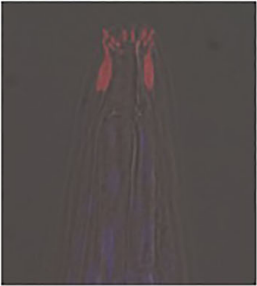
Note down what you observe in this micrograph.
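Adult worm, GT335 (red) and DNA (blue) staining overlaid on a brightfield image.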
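At the anterior tip, several short, thin red rod-like structures fan out around the mouth, and two large, bright red elongated patches lie symmetrically on either side just behind them. A narrow central tube runs back from the mouth along the midline. Blue nuclei are faint and sparse in this field, scattered through the head behind the red structures.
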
